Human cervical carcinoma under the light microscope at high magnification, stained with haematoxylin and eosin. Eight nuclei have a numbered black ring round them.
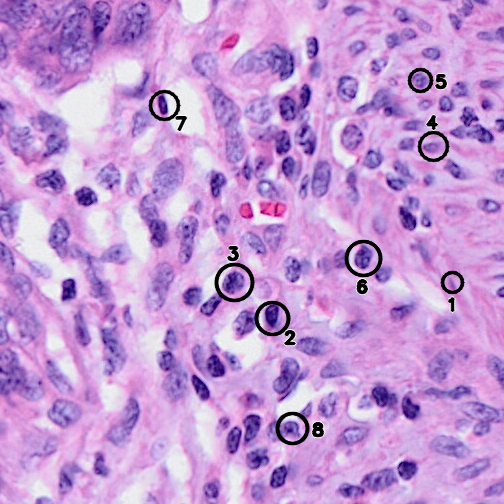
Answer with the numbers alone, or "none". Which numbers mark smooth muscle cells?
1, 4, 5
